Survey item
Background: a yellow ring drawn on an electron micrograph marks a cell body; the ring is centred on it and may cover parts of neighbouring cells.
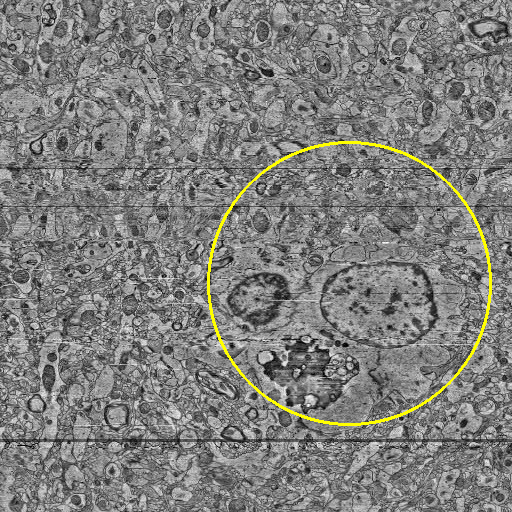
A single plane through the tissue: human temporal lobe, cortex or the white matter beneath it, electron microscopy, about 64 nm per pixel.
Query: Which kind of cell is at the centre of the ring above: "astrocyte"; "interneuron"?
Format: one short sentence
The cell in the middle of the ring is an astrocyte.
